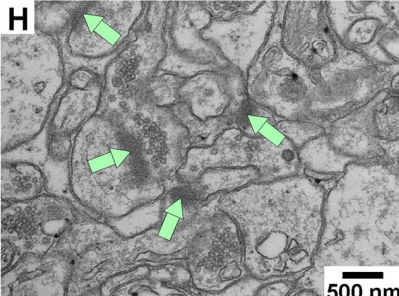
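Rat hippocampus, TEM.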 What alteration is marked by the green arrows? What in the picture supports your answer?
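Dark fuzzy densities at membrane contacts. No sharp gap between the apposed membranes at the arrows. On this evidence: blurred synaptic clefts.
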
